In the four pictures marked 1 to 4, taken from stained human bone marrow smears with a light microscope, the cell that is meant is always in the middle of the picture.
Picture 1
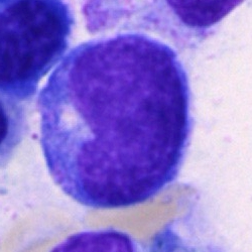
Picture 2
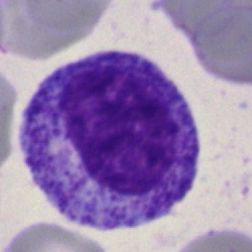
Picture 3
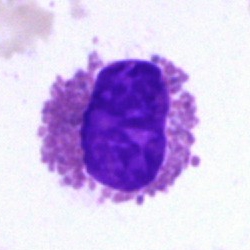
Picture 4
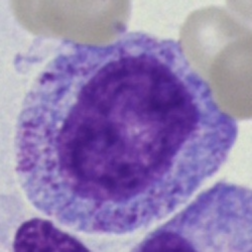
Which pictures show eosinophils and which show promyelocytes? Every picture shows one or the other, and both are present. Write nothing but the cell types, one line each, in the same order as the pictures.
promyelocyte
promyelocyte
eosinophil
promyelocyte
